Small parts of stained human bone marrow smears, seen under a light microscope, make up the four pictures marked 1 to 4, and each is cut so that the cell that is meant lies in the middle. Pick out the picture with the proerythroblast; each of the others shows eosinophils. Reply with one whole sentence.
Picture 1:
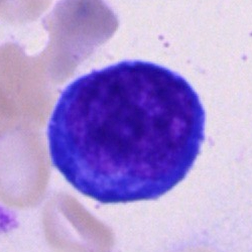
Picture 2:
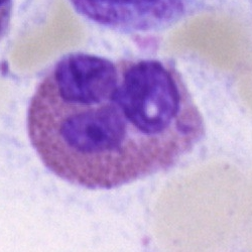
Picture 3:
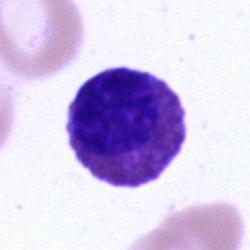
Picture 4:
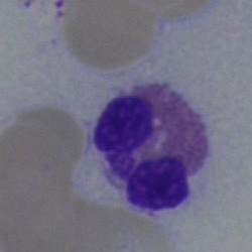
The proerythroblast is the one in picture 1.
